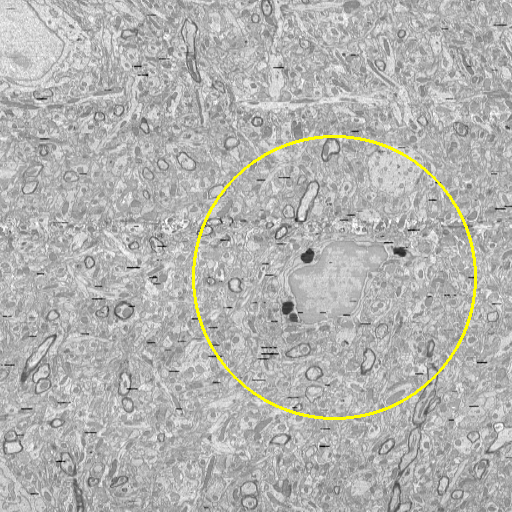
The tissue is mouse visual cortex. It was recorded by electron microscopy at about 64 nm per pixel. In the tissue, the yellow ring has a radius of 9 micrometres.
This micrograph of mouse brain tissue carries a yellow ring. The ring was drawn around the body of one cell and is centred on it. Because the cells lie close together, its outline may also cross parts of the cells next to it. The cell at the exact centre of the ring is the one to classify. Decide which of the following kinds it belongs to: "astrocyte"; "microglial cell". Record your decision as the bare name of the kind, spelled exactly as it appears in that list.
microglial cell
